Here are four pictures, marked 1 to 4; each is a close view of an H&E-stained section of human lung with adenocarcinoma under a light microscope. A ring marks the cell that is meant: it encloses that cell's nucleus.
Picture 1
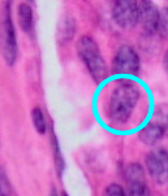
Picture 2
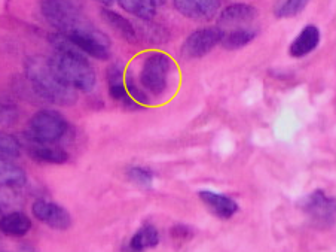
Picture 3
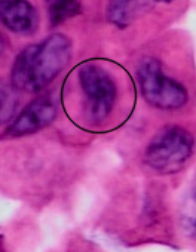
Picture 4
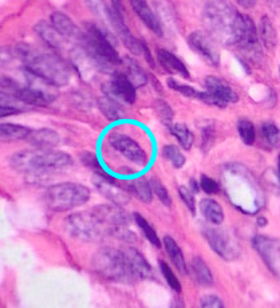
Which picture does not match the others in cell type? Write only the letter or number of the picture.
3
